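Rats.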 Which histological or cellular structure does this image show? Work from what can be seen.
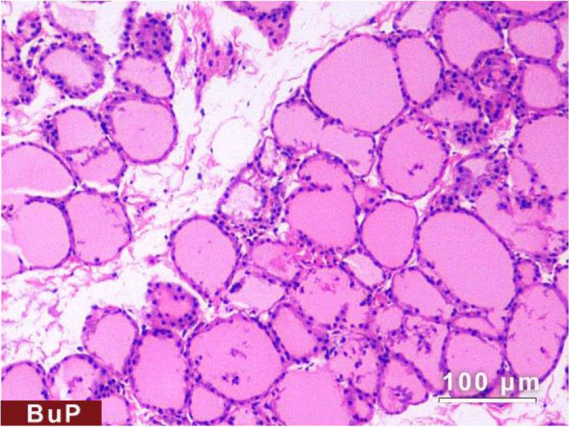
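Rounded sacs filled with pink material, lined by a single layer of cells with dark nuclei. Sacs lie in pale, loose tissue between them. So: Thyroid follicles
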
